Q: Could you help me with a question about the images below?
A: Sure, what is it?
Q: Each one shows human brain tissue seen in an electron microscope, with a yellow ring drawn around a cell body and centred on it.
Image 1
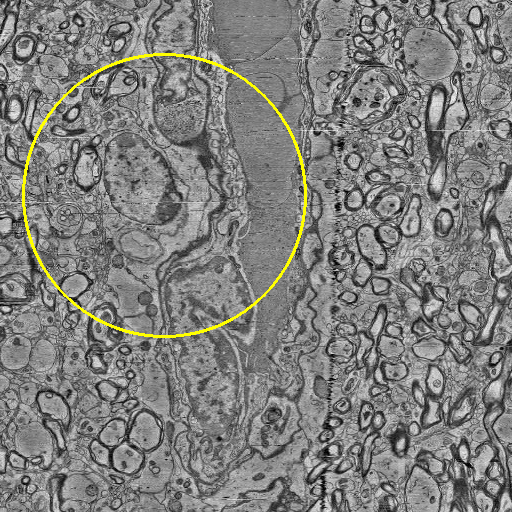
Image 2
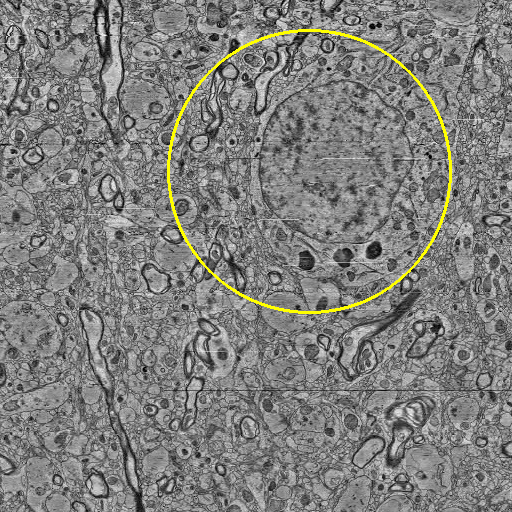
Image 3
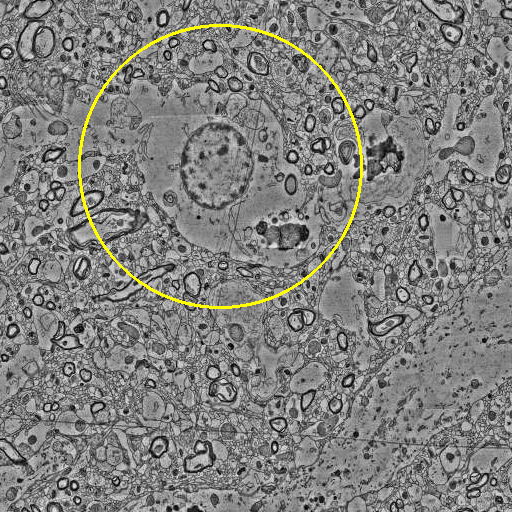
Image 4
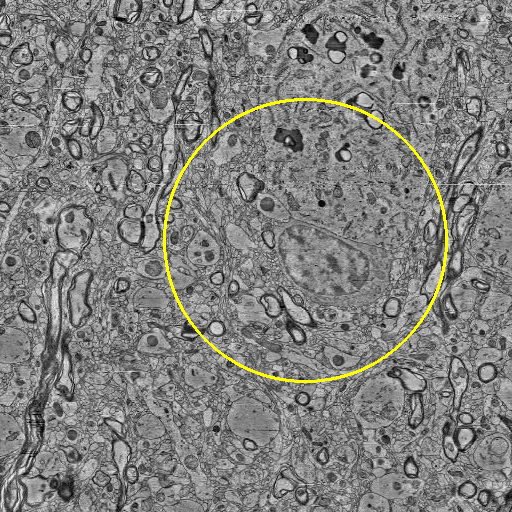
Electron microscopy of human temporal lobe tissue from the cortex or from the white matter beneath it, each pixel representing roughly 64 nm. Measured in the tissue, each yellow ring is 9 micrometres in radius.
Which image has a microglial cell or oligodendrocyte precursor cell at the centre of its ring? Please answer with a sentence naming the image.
Image 1 has it at the centre of its ring.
